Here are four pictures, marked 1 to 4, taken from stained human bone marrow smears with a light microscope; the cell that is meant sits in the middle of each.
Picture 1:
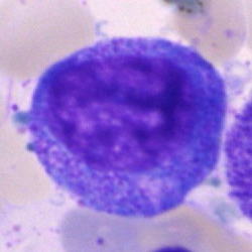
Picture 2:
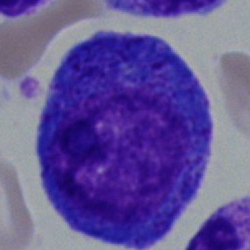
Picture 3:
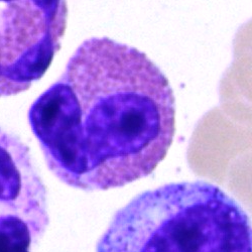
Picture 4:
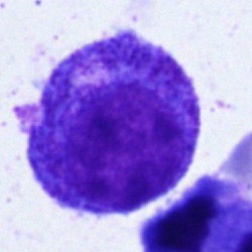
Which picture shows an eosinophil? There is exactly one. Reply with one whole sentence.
It is picture 3 that shows the eosinophil.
